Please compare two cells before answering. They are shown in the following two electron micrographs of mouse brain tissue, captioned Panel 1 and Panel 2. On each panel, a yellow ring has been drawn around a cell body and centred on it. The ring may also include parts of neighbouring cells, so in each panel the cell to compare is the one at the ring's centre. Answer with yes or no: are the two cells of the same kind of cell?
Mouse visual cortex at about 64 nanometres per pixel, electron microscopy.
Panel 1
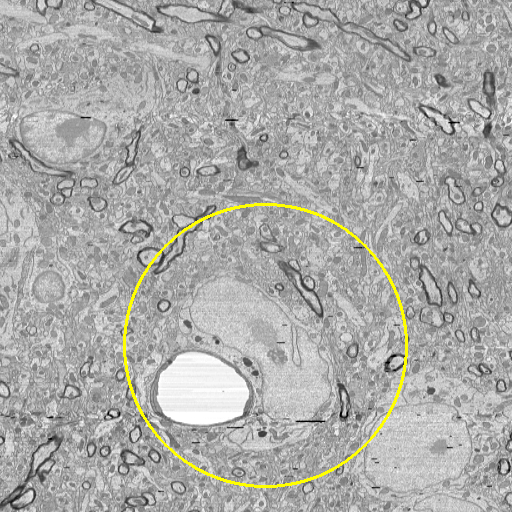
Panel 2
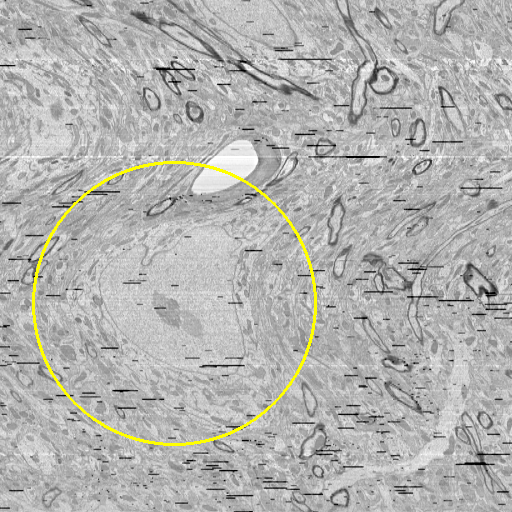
yes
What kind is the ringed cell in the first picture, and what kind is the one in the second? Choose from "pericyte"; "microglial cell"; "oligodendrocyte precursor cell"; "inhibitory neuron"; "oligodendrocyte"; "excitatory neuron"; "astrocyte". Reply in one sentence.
The cell at the ring centre is an inhibitory neuron in both pictures.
